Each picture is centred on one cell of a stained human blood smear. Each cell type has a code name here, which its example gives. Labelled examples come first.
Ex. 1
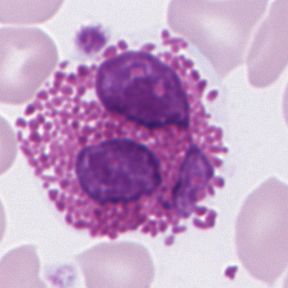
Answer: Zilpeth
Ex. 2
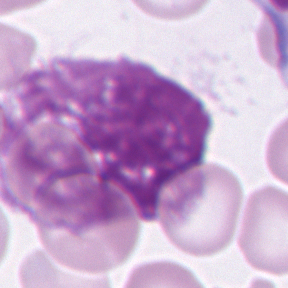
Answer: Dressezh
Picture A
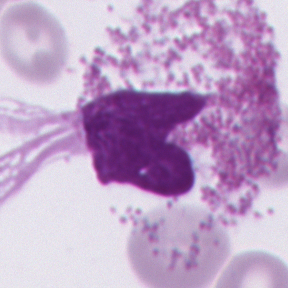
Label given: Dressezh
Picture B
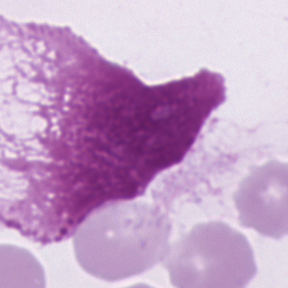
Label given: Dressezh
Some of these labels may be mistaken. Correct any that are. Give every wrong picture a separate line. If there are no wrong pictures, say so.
A is labelled Dressezh; correct label: Zilpeth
